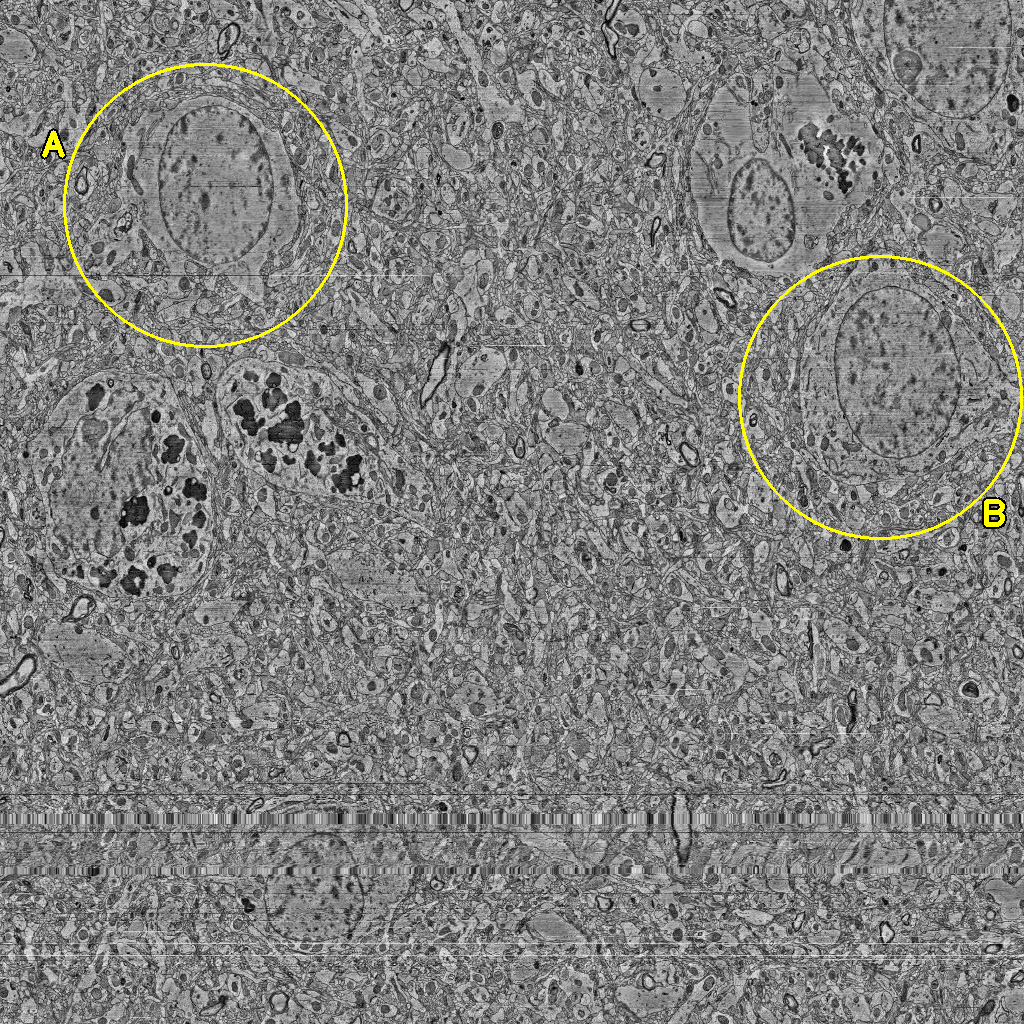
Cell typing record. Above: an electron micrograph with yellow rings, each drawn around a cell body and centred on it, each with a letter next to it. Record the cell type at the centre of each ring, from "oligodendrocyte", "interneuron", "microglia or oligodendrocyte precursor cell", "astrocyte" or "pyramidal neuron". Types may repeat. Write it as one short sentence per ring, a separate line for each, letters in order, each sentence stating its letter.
Ring A circles an astrocyte.
Ring B circles a pyramidal neuron.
